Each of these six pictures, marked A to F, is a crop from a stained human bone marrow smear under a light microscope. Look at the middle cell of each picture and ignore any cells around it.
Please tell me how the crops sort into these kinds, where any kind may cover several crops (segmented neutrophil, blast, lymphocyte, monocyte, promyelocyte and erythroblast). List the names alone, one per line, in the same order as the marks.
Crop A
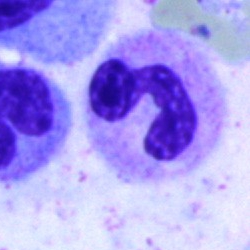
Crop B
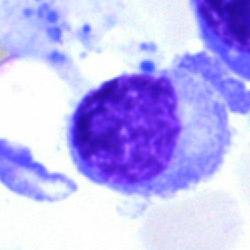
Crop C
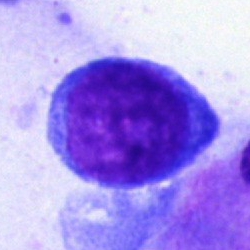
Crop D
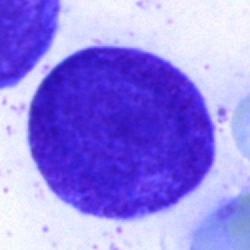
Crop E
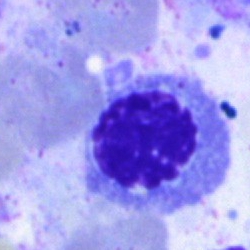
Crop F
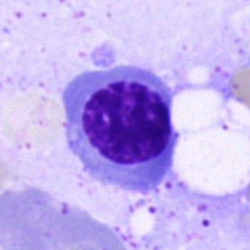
segmented neutrophil
lymphocyte
blast
promyelocyte
erythroblast
erythroblast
